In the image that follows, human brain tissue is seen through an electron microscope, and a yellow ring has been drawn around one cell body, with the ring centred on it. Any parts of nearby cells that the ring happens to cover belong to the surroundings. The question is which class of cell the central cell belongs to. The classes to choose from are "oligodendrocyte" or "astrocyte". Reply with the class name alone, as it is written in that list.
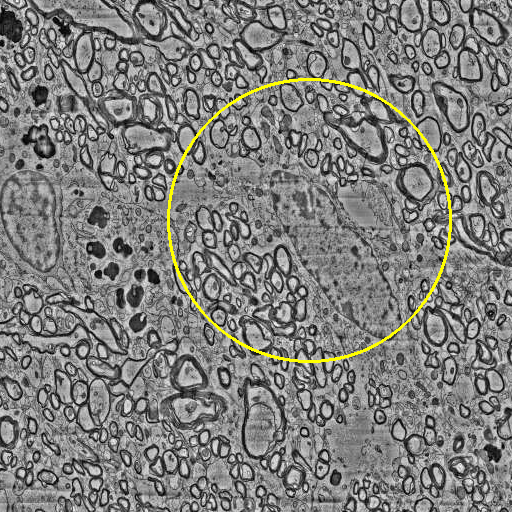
astrocyte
